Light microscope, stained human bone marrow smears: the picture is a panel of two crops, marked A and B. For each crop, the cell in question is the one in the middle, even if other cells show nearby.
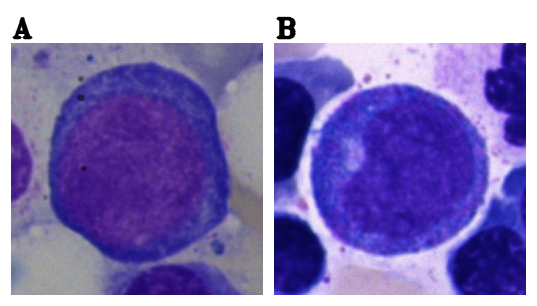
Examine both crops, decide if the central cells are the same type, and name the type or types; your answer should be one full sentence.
No, crop A contains a proerythroblast, and crop B contains a promyelocyte.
